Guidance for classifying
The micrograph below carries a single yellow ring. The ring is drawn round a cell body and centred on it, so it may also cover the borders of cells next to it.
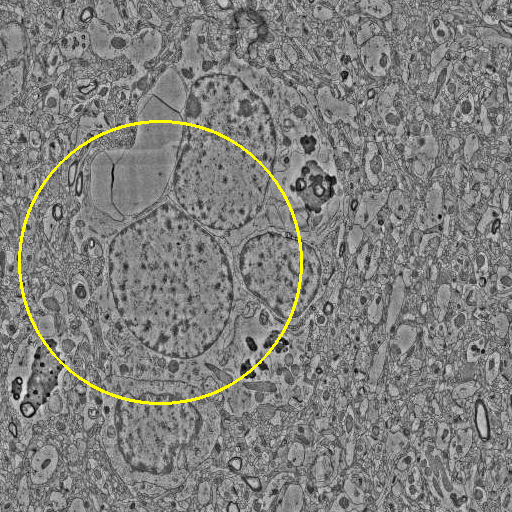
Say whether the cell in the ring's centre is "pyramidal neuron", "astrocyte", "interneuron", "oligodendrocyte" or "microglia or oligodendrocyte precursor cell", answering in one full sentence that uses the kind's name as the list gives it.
Within the yellow ring, an astrocyte is the cell whose body sits at the centre.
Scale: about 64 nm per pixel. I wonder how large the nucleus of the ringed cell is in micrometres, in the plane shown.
About 10 micrometres by about 8 micrometres in this plane.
